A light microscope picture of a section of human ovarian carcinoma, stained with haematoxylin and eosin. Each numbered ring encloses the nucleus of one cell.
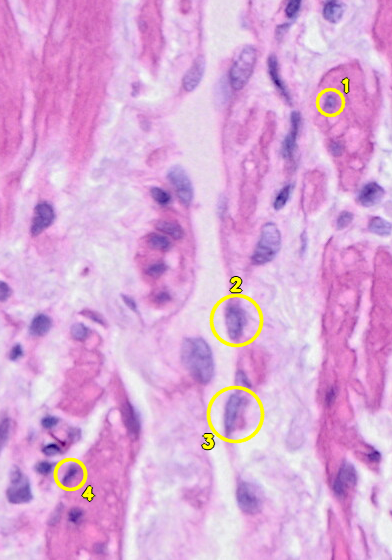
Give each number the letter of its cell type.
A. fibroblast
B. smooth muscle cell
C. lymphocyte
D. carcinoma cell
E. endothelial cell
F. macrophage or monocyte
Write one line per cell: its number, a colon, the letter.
1: B
2: E
3: E
4: B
